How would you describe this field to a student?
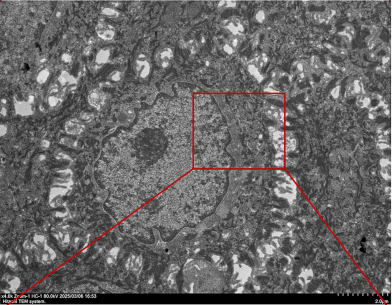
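A central cell has a large round nucleus with finely granular chromatin and a dense, prominent nucleolus. Its cytoplasm is filled with darker bundles of filaments running through a granular matrix. The cell border is outlined by numerous slender projections that interdigitate with those of neighbouring cells, leaving pale, narrow intercellular spaces crossed by spine-like contacts. Parts of adjacent keratinocytes with similar cytoplasm surround the central cell on all sides.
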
